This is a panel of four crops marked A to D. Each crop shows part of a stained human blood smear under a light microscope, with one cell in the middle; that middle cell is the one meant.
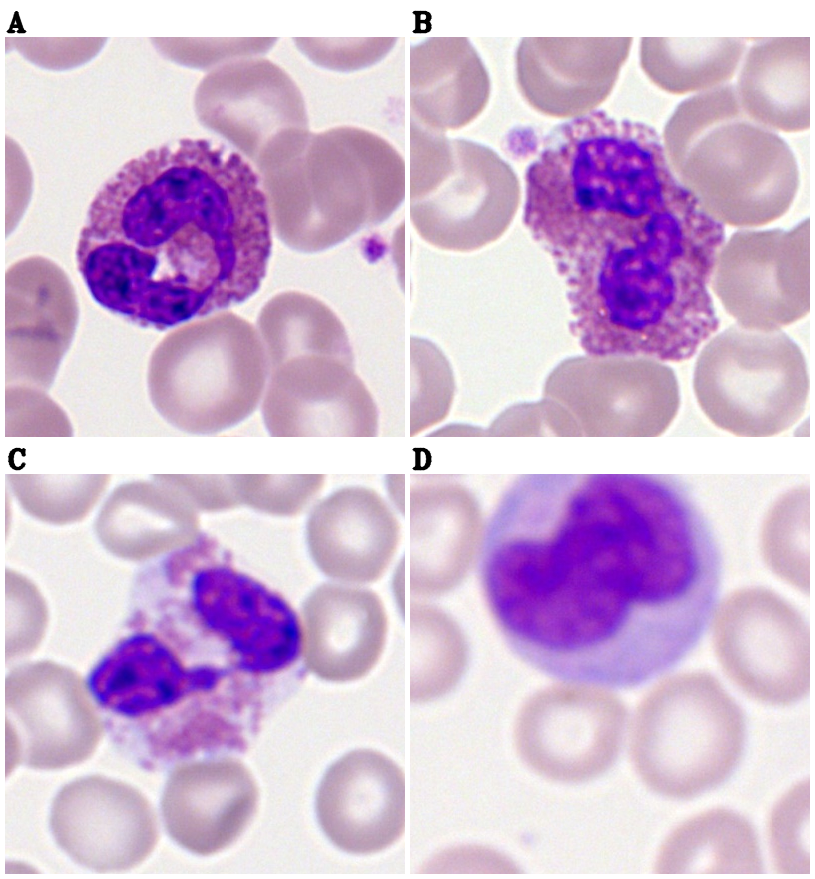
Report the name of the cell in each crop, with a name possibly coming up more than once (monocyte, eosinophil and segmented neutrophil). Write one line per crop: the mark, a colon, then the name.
A: eosinophil
B: eosinophil
C: eosinophil
D: monocyte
